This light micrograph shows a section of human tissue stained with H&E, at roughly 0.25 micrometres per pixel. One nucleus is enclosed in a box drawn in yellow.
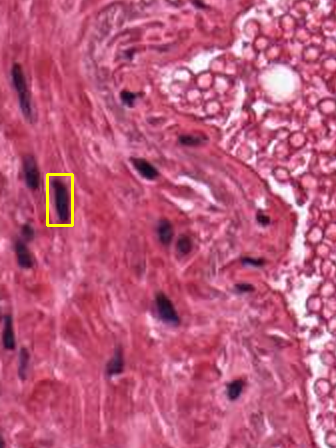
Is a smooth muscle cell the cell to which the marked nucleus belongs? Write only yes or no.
yes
